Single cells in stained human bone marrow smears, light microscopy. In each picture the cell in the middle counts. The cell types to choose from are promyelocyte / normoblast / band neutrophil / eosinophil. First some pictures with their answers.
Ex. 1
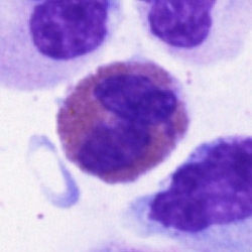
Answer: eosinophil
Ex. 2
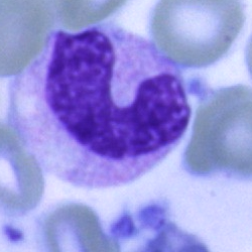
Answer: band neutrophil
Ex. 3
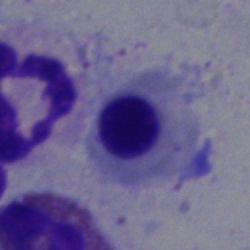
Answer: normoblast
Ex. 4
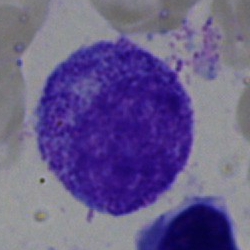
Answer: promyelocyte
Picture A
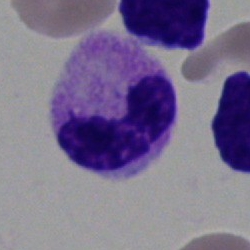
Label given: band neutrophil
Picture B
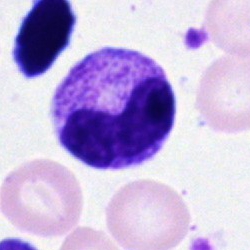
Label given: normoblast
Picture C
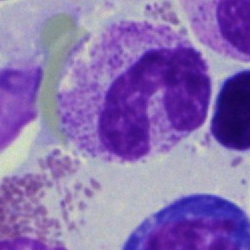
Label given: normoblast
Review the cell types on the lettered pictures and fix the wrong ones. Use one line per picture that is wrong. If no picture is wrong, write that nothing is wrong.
B: not normoblast but band neutrophil
C: not normoblast but band neutrophil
